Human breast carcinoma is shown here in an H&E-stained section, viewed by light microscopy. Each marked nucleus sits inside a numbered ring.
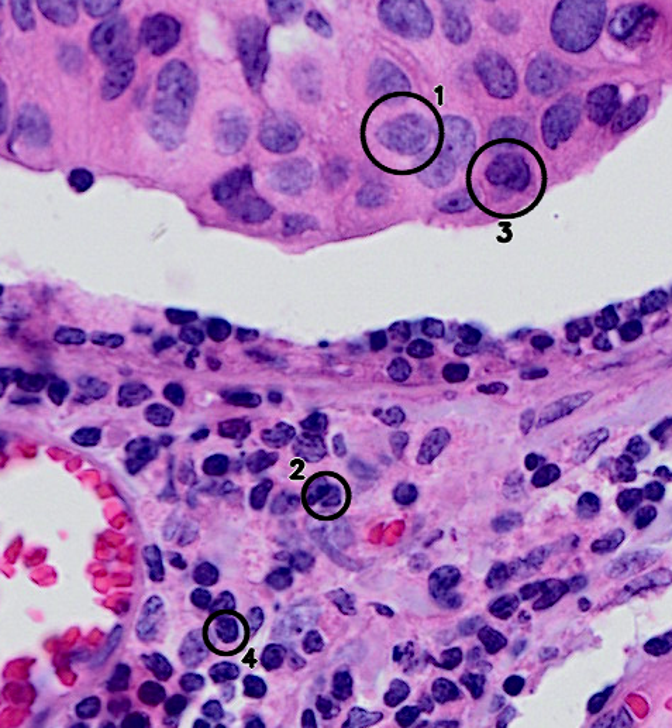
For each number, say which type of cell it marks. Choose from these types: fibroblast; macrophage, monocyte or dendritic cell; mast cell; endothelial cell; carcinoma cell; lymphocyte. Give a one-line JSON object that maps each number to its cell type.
{"1": "carcinoma cell", "2": "lymphocyte", "3": "carcinoma cell", "4": "lymphocyte"}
